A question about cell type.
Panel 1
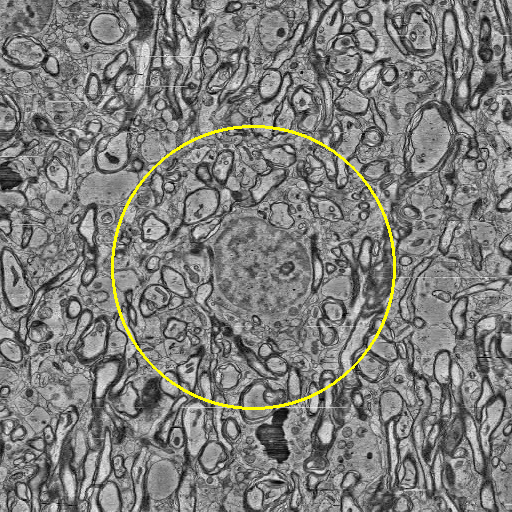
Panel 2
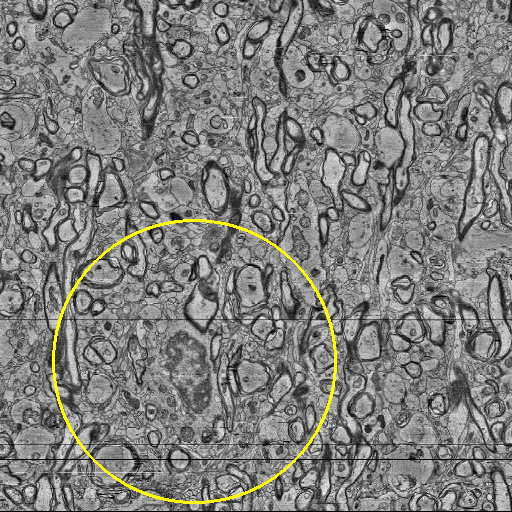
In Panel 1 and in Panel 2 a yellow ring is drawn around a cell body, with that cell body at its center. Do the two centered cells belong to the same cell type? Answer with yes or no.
yes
